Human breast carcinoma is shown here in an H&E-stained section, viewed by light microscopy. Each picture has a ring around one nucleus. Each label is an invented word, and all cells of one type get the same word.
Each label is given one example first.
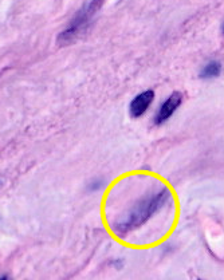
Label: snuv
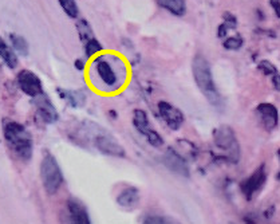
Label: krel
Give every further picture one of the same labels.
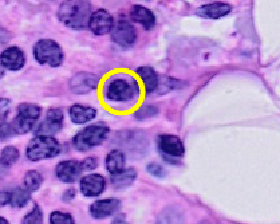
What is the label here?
krel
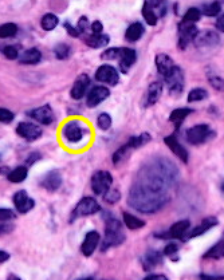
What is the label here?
krel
